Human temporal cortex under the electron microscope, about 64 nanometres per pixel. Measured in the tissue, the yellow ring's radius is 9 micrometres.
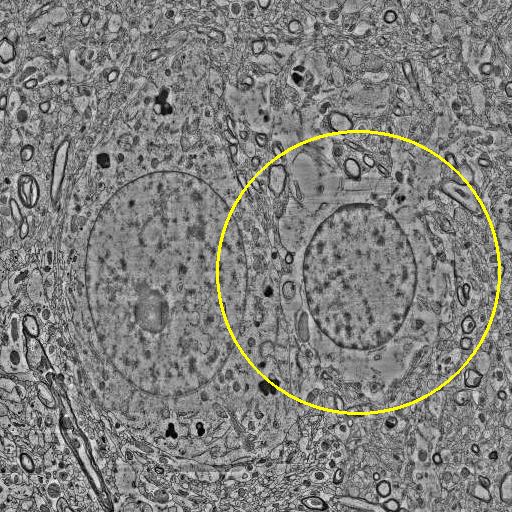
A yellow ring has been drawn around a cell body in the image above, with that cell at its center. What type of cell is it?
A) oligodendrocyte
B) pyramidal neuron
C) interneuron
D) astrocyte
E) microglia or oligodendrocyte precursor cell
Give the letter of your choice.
D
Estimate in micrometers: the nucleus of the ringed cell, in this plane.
In this plane the nucleus measures roughly 9 by 7 micrometres.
